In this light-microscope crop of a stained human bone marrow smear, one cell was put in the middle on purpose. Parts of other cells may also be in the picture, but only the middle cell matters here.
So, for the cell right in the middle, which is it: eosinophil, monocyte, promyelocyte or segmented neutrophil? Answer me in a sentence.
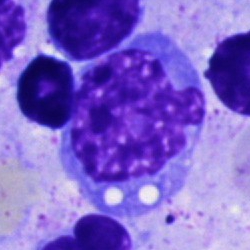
The cell nearest the centre of this crop is a monocyte.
